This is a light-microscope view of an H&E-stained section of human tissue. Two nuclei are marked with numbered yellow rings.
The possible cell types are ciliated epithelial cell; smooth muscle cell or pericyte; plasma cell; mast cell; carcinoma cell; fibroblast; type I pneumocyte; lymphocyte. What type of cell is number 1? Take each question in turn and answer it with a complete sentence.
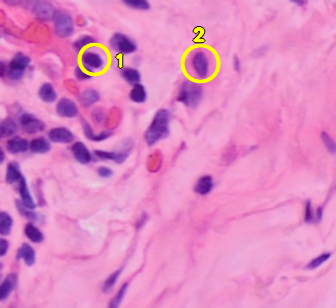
The cell referenced by the number 1 is a lymphocyte in this field.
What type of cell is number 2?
The cell identified by number 2 is a mast cell.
